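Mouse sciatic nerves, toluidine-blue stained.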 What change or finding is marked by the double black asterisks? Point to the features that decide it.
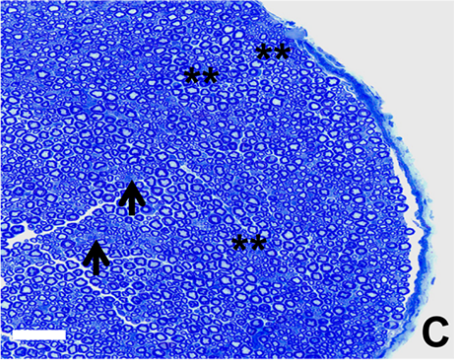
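Near the asterisks the axons have thin, pale rings. Fibres with thick dark rings lie around these groups. So: Clusters of thinly myelinated axons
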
